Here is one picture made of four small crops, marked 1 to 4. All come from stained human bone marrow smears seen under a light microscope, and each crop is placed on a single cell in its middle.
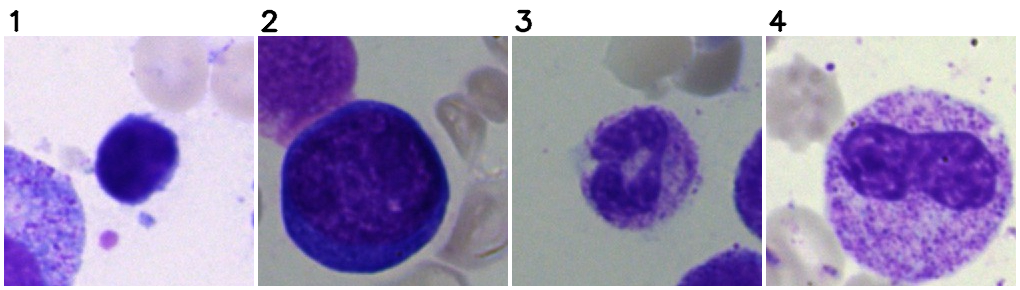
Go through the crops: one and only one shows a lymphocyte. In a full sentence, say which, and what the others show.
Shown in crop 1 is a lymphocyte, whereas crop 2 is a proerythroblast, crop 3 is a segmented neutrophil and crop 4 is a band neutrophil.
